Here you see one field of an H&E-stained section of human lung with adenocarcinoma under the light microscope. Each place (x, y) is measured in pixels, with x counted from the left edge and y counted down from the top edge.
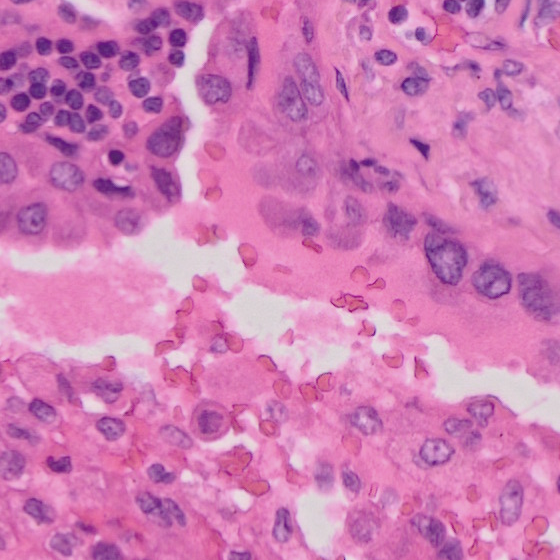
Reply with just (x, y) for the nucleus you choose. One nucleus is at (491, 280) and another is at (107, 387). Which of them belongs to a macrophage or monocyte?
(107, 387)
